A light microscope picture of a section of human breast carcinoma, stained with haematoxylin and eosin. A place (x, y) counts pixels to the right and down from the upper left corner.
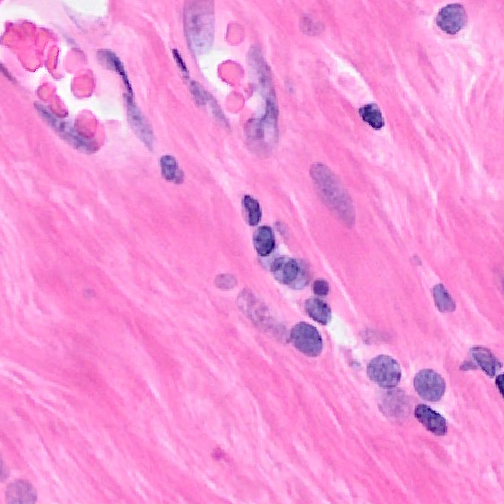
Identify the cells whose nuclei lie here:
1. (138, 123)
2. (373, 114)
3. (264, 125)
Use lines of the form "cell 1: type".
cell 1: endothelial cell
cell 2: lymphocyte
cell 3: endothelial cell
